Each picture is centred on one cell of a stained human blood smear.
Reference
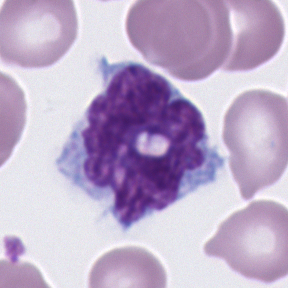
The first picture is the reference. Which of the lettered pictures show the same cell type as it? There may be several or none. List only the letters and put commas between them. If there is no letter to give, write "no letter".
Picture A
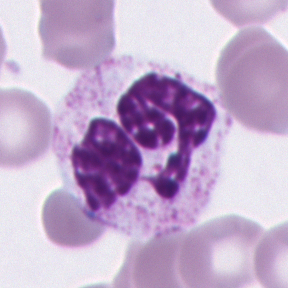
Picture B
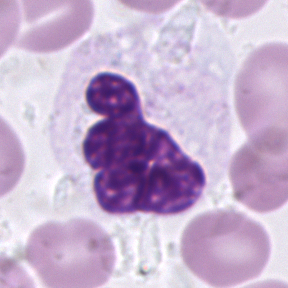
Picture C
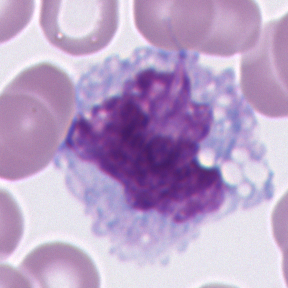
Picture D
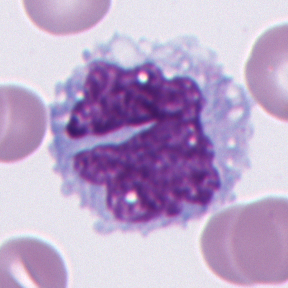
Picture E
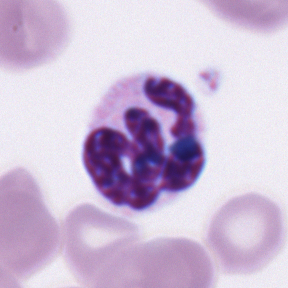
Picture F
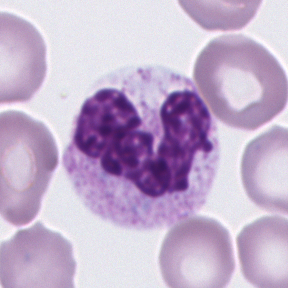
C, D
